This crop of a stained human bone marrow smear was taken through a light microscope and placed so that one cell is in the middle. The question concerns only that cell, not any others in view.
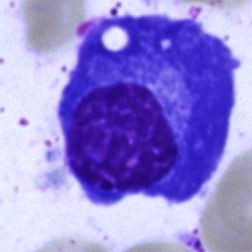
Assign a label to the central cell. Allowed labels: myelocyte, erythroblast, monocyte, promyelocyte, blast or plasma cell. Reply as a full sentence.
This crop has a plasma cell at its centre.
